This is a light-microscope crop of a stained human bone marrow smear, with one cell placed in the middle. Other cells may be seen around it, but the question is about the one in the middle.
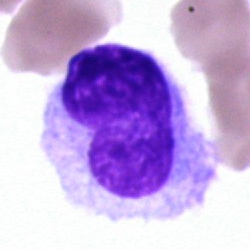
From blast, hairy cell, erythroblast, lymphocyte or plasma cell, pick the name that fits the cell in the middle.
hairy cell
